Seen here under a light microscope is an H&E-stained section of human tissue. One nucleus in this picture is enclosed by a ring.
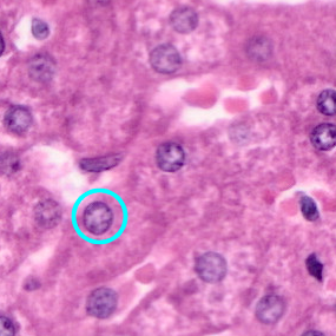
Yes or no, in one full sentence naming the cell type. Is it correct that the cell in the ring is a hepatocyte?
Yes, the identity of the cell in the ring is that of a hepatocyte.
